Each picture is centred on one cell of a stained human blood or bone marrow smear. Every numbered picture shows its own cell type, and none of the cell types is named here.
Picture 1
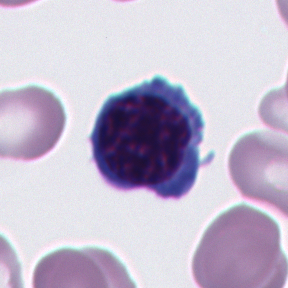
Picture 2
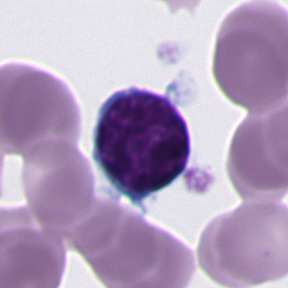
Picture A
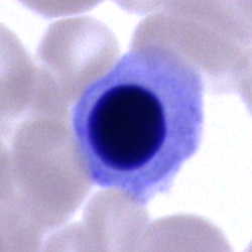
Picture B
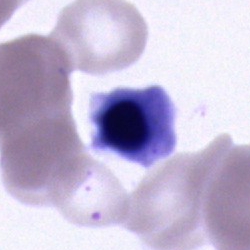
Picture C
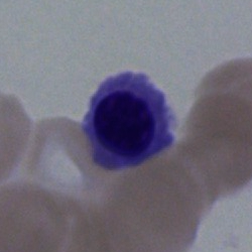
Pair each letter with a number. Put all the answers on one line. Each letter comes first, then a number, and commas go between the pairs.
A 1, B 1, C 1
